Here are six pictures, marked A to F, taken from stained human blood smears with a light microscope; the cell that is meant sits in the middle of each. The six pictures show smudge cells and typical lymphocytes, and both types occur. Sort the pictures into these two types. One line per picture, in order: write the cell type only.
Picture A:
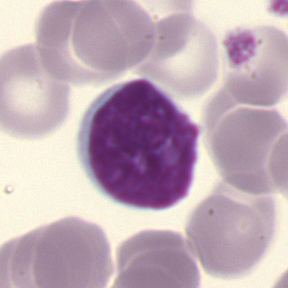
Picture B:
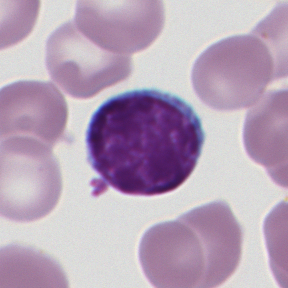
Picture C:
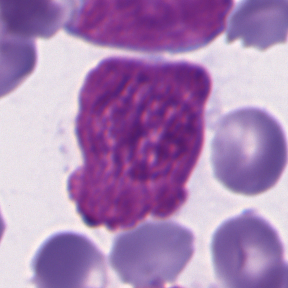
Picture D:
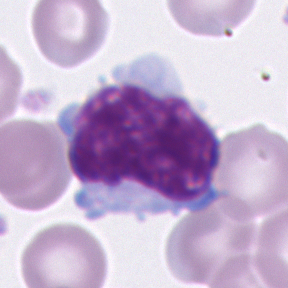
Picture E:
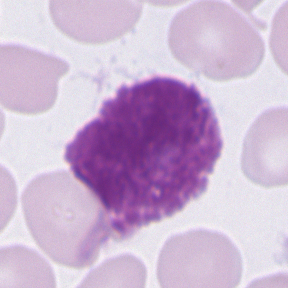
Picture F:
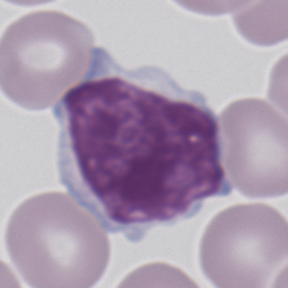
typical lymphocyte
typical lymphocyte
smudge cell
typical lymphocyte
smudge cell
typical lymphocyte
